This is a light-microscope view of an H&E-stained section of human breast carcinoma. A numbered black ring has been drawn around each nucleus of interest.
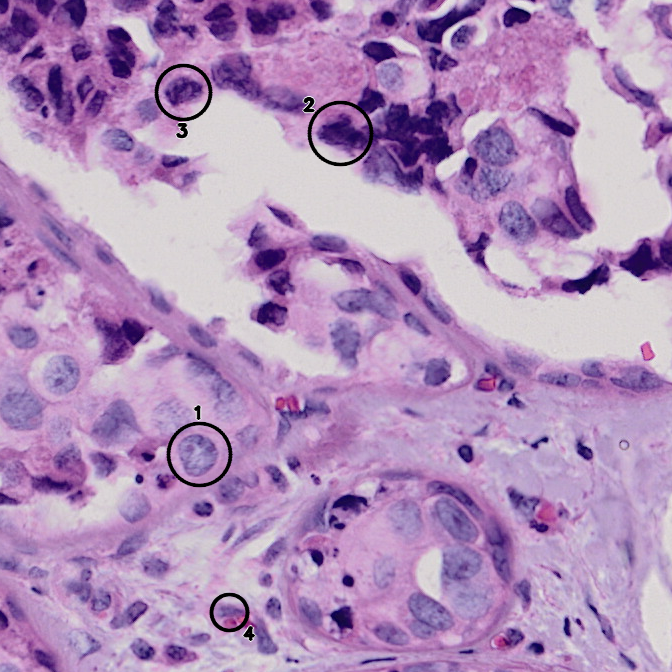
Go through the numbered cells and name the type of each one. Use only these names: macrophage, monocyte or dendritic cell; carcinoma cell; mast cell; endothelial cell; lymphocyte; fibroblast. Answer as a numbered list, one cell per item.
1. carcinoma cell
2. carcinoma cell
3. carcinoma cell
4. endothelial cell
